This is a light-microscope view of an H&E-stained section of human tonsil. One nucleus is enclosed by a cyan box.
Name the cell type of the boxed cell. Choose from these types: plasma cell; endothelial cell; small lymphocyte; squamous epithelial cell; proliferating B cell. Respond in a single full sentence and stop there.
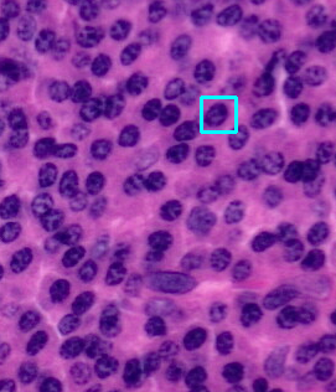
Histopathologically, the boxed cell is a plasma cell.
